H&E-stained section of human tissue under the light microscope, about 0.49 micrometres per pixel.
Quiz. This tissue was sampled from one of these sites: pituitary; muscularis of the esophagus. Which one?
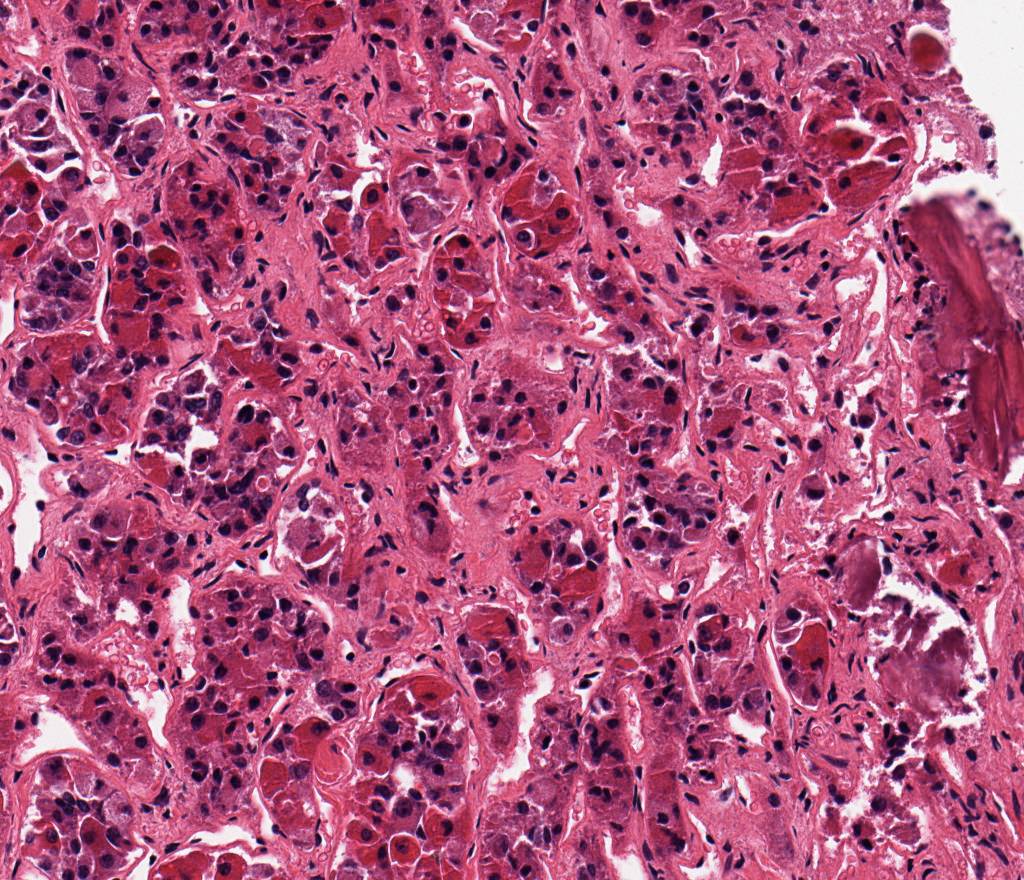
pituitary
